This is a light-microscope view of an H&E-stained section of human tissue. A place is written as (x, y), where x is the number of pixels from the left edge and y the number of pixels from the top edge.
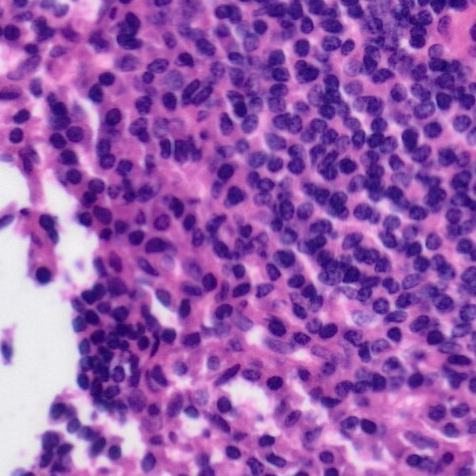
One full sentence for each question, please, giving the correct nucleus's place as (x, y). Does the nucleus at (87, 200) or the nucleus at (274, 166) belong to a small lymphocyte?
The nucleus located at (274, 166) is the one held within a small lymphocyte.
